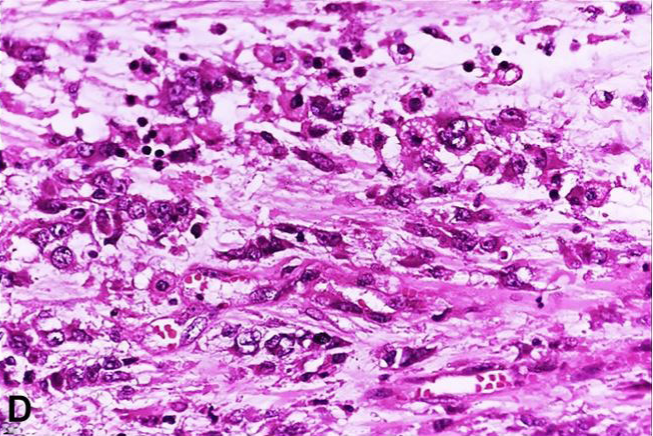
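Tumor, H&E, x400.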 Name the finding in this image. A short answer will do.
Epithelioid to round cell morphology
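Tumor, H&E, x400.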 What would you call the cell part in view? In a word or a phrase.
Conspicuous nucleoli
